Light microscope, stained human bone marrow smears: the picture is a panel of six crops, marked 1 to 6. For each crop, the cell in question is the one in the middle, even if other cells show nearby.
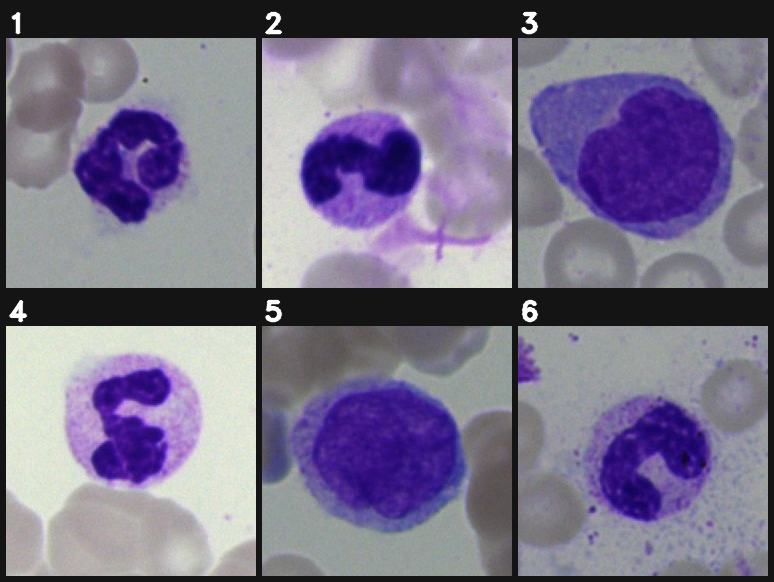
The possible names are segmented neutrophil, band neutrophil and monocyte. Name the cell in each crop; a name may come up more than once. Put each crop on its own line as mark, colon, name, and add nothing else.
1: segmented neutrophil
2: segmented neutrophil
3: monocyte
4: segmented neutrophil
5: monocyte
6: band neutrophil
